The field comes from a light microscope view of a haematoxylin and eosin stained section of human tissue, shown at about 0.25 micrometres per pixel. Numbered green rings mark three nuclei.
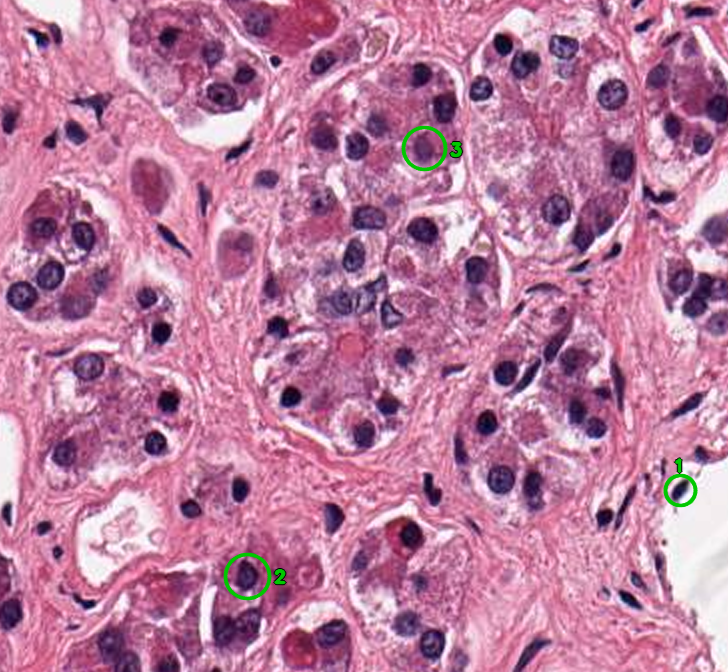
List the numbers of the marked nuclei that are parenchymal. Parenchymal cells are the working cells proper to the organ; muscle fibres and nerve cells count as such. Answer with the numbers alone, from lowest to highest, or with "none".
2, 3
